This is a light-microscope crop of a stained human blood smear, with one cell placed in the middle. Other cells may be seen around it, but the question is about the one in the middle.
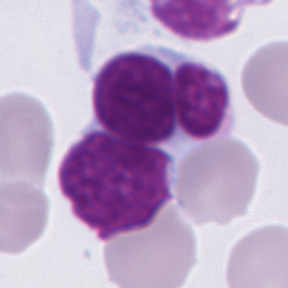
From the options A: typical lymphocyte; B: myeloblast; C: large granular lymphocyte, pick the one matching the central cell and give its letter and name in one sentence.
Here the central cell is a myeloblast, and option B is correct.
